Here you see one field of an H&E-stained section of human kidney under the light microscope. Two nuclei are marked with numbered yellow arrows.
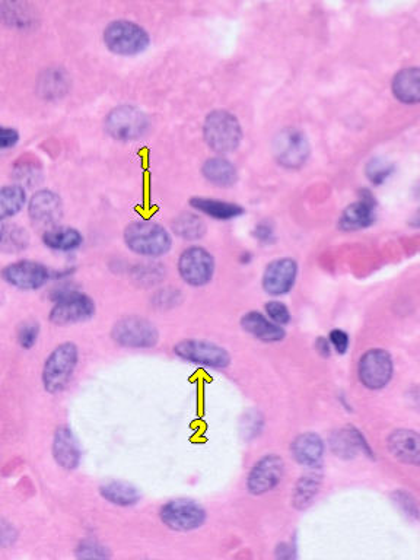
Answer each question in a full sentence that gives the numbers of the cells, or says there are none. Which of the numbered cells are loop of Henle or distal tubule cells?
Just one of the numbered cells is a loop of Henle or distal tubule cell, namely number 2.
